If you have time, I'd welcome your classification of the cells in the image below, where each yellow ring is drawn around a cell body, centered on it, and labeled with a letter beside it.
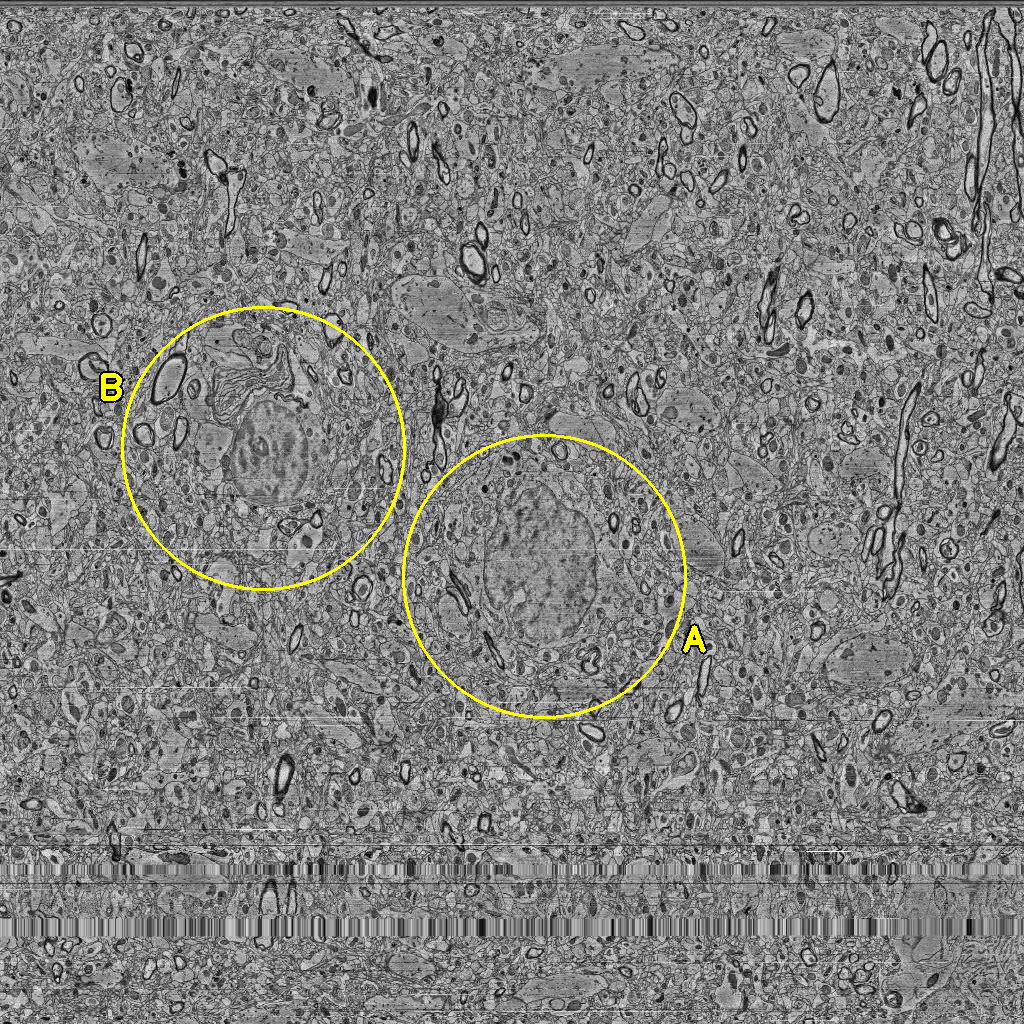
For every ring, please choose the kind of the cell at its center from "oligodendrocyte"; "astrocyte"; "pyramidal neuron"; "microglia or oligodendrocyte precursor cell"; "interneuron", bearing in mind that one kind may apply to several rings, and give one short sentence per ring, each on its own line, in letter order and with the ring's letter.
At the center of ring A is an interneuron.
At the center of ring B is an oligodendrocyte.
